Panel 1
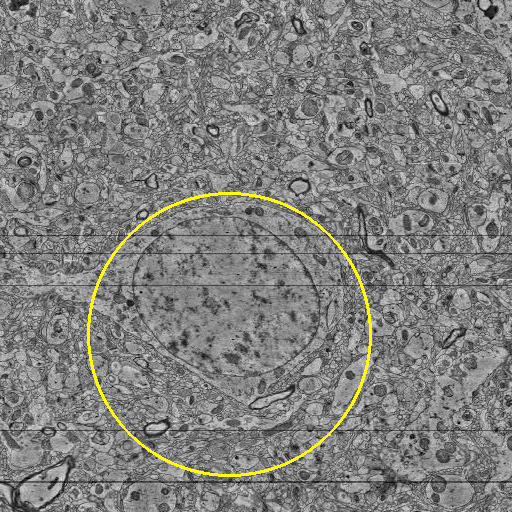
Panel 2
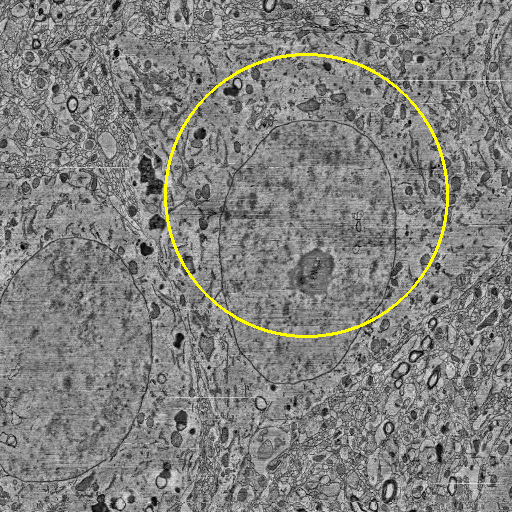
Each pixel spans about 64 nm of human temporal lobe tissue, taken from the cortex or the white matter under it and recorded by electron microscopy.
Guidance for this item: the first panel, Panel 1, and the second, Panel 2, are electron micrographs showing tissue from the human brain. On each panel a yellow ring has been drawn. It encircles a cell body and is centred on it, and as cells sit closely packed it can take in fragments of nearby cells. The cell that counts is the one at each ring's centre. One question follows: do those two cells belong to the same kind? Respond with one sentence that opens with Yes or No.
Yes, the cells at the ring centres in Panel 1 and Panel 2 are of one kind.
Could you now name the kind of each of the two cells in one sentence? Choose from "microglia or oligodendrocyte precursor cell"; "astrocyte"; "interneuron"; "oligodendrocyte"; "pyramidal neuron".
Both cells are the same kind, each one being a pyramidal neuron.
